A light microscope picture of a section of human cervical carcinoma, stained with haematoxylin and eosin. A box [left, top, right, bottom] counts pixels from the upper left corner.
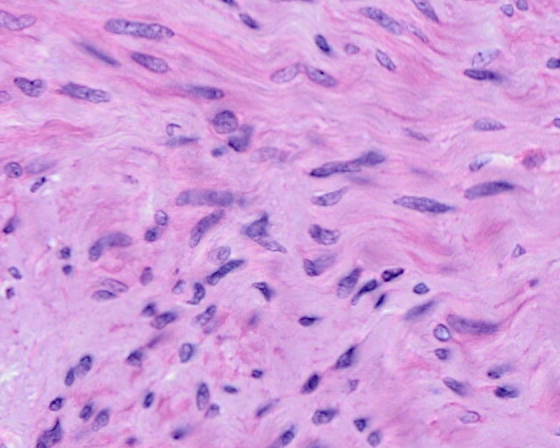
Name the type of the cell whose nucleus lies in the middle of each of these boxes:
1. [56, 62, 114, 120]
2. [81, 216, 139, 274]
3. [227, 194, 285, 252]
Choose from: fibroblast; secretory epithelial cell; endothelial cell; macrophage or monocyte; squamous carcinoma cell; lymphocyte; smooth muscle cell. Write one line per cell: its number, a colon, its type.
1: smooth muscle cell
2: smooth muscle cell
3: fibroblast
